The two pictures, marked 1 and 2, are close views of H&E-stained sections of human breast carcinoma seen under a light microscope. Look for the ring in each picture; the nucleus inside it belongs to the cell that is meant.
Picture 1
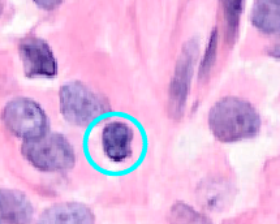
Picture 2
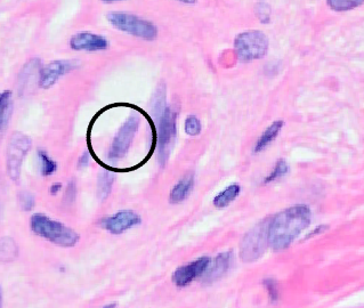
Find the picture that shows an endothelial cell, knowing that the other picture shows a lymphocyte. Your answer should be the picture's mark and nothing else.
2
